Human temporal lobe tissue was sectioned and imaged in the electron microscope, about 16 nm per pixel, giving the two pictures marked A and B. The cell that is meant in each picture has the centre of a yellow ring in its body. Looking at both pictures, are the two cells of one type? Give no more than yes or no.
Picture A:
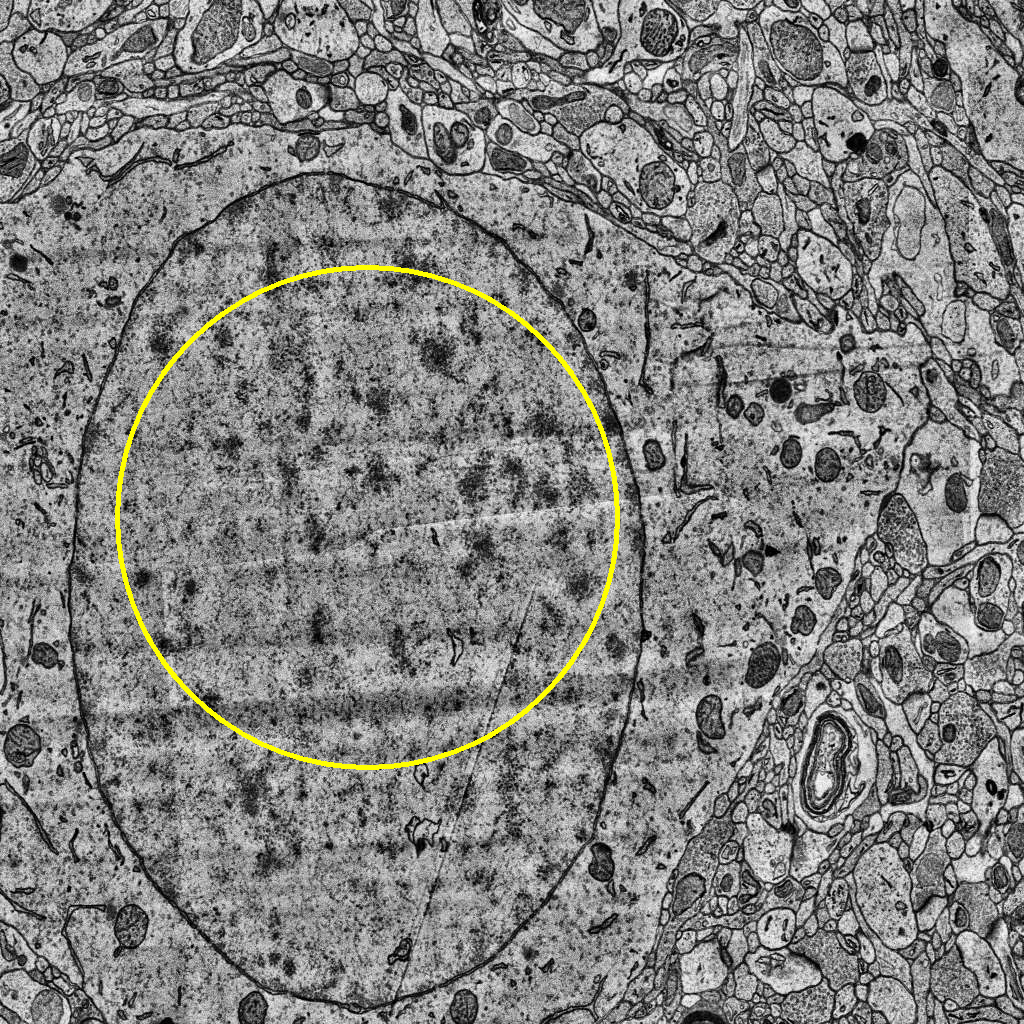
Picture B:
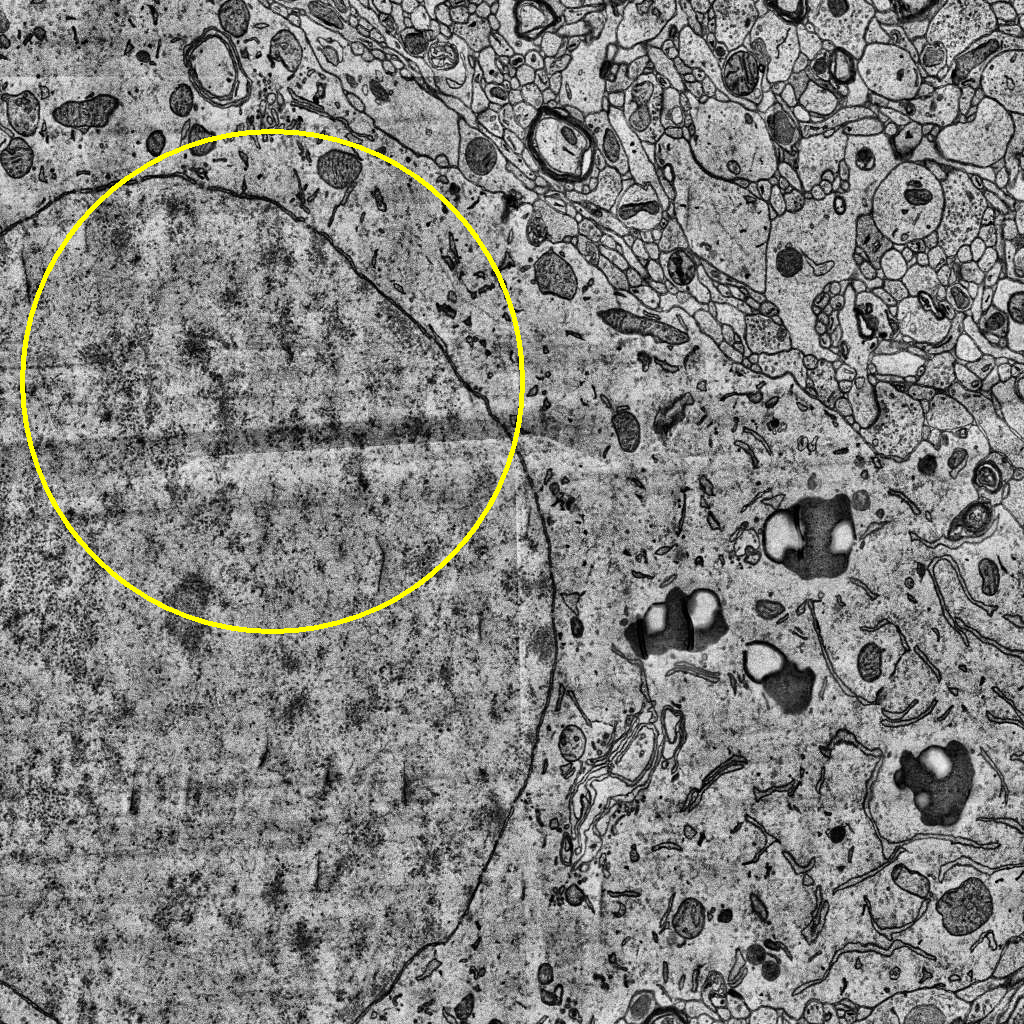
yes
